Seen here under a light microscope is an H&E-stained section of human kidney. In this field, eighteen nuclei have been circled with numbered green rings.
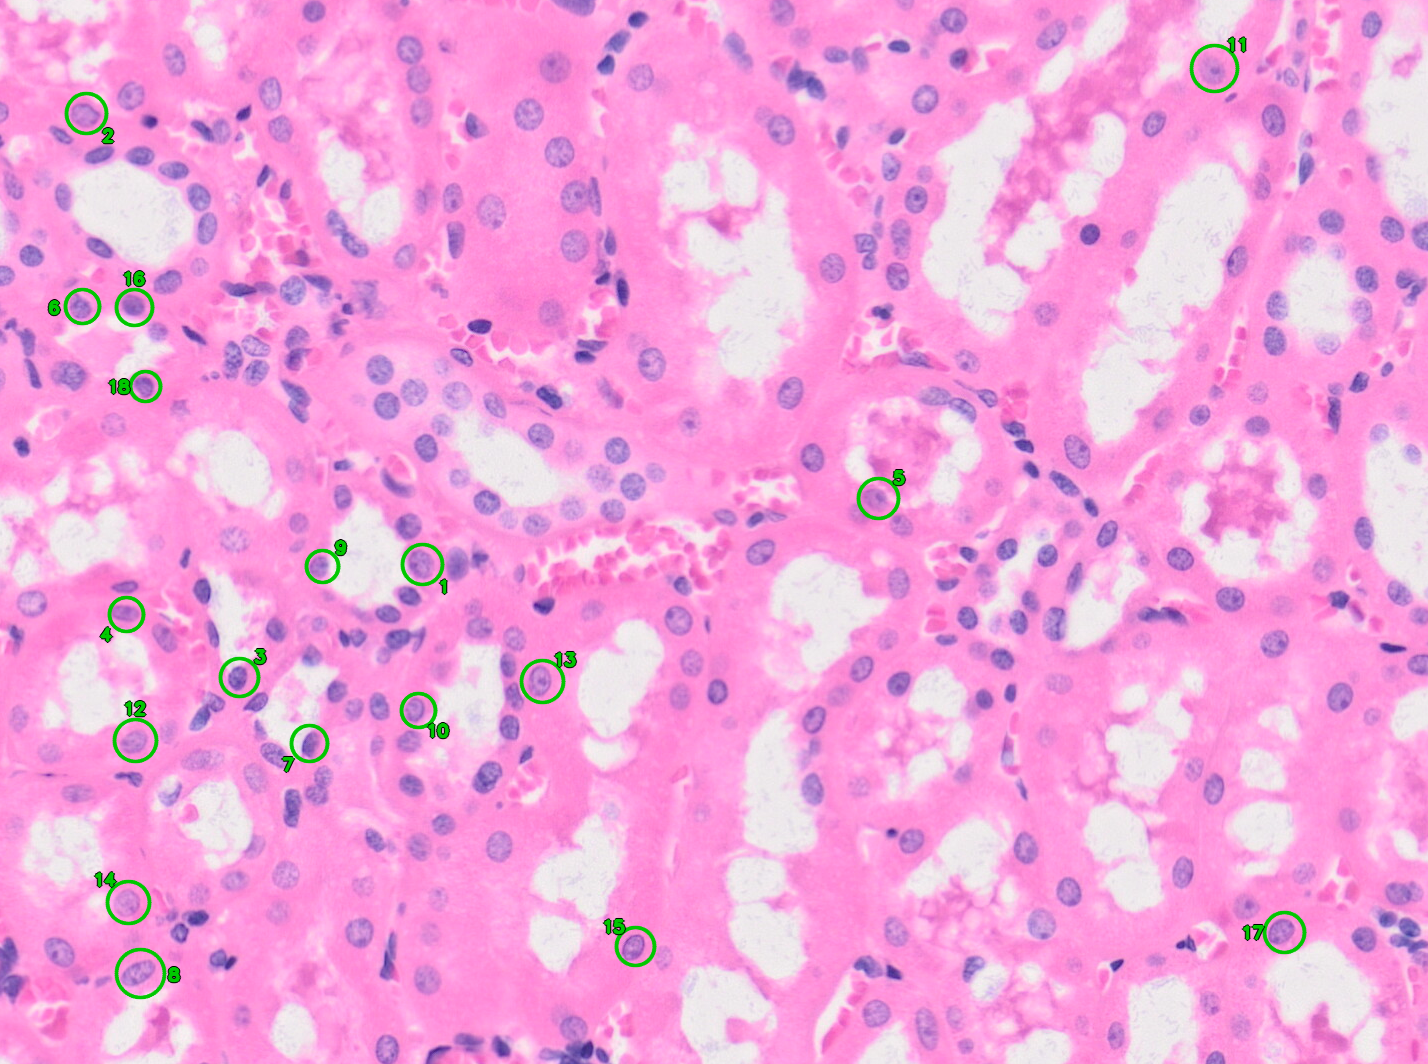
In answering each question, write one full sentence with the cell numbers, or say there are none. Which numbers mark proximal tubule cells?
So, the cells with numbers 2, 4, 5, 8, 11, 12, 13, 14, 15 and 17 are proximal tubule cells.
